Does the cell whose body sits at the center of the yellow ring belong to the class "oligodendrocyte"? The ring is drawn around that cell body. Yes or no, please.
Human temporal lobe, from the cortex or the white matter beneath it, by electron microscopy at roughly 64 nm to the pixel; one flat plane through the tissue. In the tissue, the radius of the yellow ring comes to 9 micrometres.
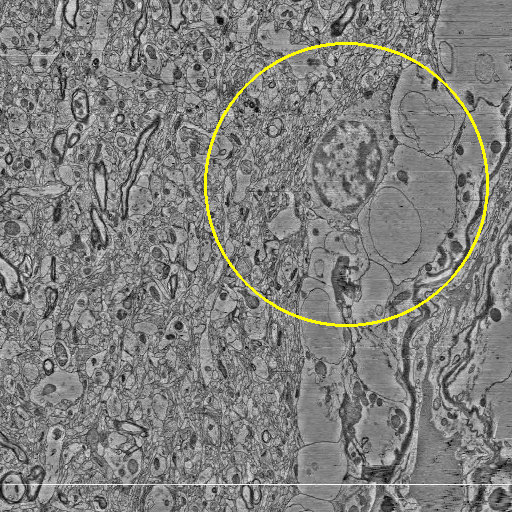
Yes, it belongs to that class.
